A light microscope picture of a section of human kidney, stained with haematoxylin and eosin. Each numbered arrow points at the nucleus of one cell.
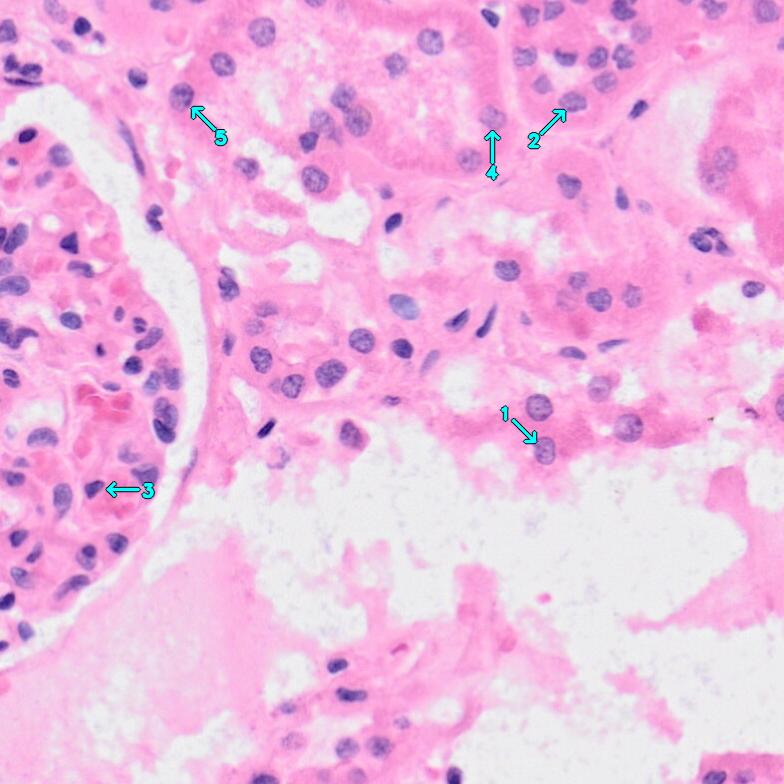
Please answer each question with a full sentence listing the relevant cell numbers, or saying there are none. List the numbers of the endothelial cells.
Being an endothelial cell is true of cell 3 and of no other numbered cell.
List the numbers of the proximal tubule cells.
Cells 1, 4 and 5 are recognised here as proximal tubule cells.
